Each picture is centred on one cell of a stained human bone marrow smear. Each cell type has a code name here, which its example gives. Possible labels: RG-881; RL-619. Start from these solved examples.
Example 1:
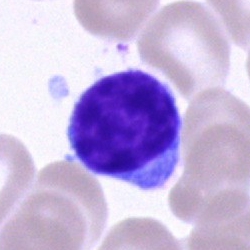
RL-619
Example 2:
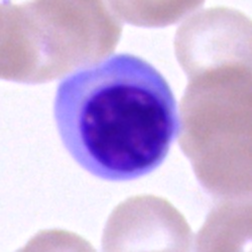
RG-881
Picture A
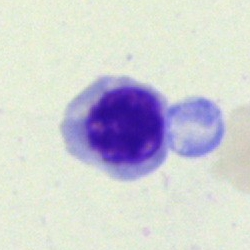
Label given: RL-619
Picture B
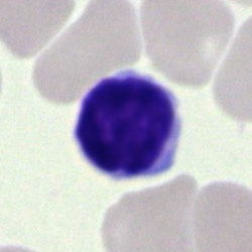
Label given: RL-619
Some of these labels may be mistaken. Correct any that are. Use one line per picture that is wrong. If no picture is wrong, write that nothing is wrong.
A: change RL-619 to RG-881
